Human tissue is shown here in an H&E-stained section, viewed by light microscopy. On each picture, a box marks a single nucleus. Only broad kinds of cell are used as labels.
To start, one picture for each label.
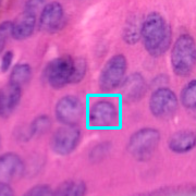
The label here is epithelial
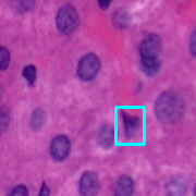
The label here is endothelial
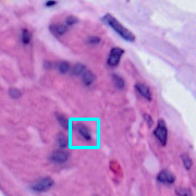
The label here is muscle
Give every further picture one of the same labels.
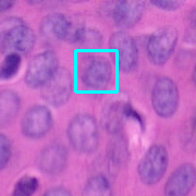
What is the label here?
epithelial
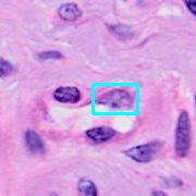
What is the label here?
endothelial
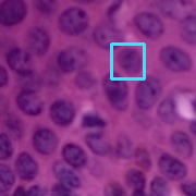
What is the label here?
epithelial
